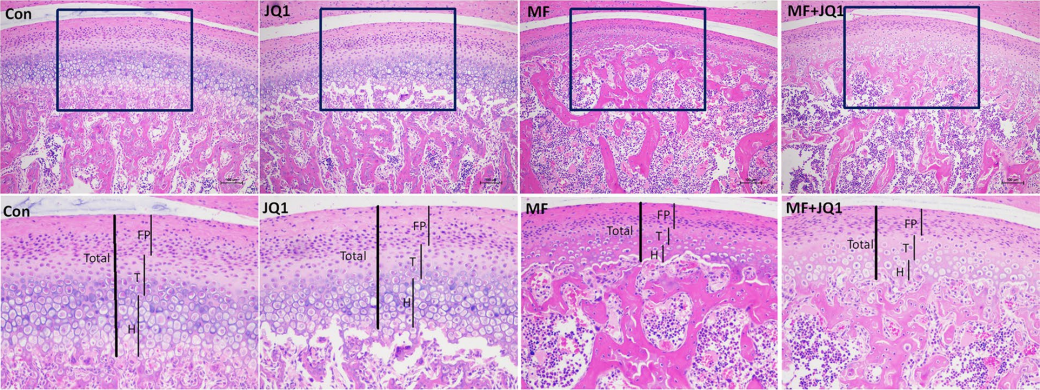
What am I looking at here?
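Under a thin fibrous surface layer, small flattened chondrocytes give way to deeper columns of large, rounded, pale hypertrophic chondrocytes in lacunae set in a purple matrix. In some sections the cartilage layer is much thinner, with fewer rounded chondrocytes, and thick, irregular pink bone trabeculae reach close to the surface.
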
